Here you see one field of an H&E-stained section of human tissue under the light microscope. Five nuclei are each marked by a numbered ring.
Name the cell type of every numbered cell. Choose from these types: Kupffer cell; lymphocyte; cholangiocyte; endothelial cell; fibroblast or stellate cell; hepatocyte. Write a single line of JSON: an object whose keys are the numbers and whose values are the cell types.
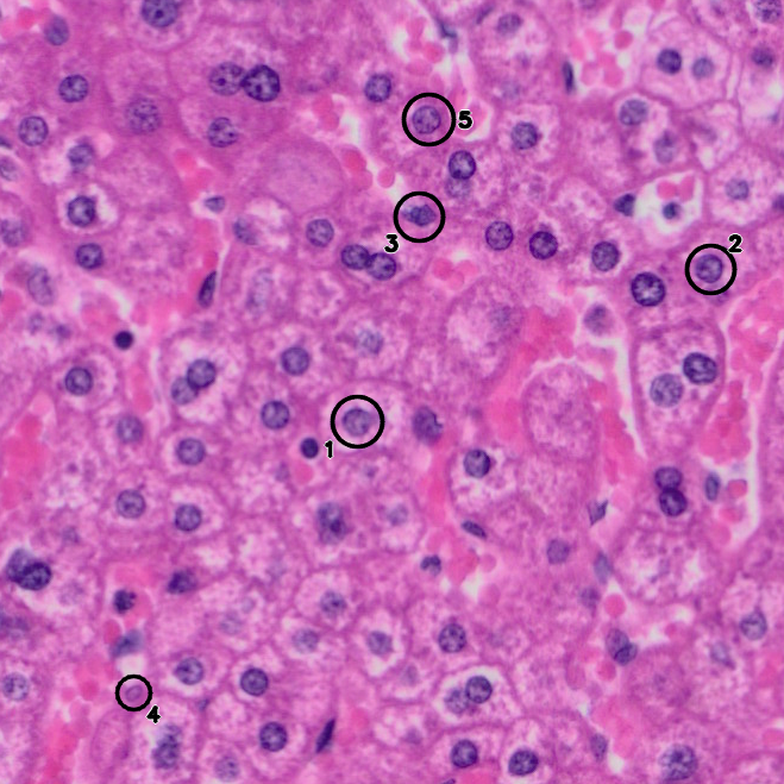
{"1": "hepatocyte", "2": "hepatocyte", "3": "fibroblast or stellate cell", "4": "Kupffer cell", "5": "hepatocyte"}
